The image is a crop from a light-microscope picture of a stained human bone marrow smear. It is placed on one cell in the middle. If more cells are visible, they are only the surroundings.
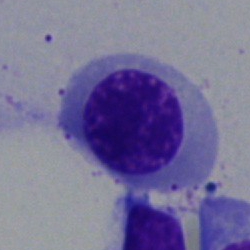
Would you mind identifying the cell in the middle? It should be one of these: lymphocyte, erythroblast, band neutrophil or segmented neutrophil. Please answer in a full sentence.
The centrally placed cell is classified as an erythroblast.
